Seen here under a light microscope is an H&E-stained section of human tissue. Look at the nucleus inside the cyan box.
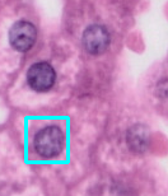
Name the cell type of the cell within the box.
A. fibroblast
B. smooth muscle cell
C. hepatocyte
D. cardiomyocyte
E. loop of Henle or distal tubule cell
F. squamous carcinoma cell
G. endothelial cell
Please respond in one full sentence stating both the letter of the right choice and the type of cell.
Given that the cell within the box is a hepatocyte, option C is the correct one.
